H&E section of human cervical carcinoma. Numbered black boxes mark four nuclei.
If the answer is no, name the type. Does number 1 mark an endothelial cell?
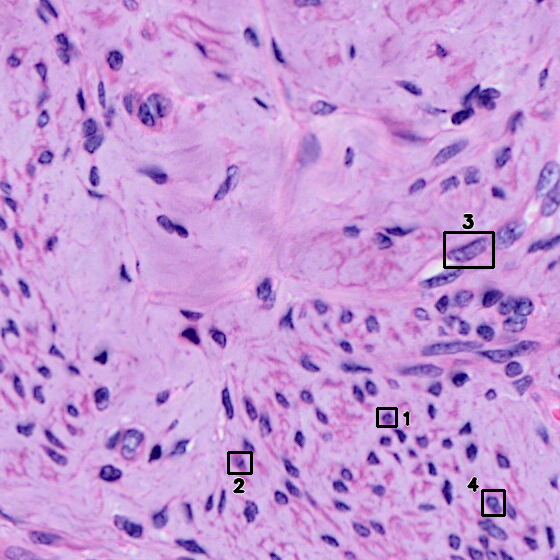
No, it is a smooth muscle cell.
